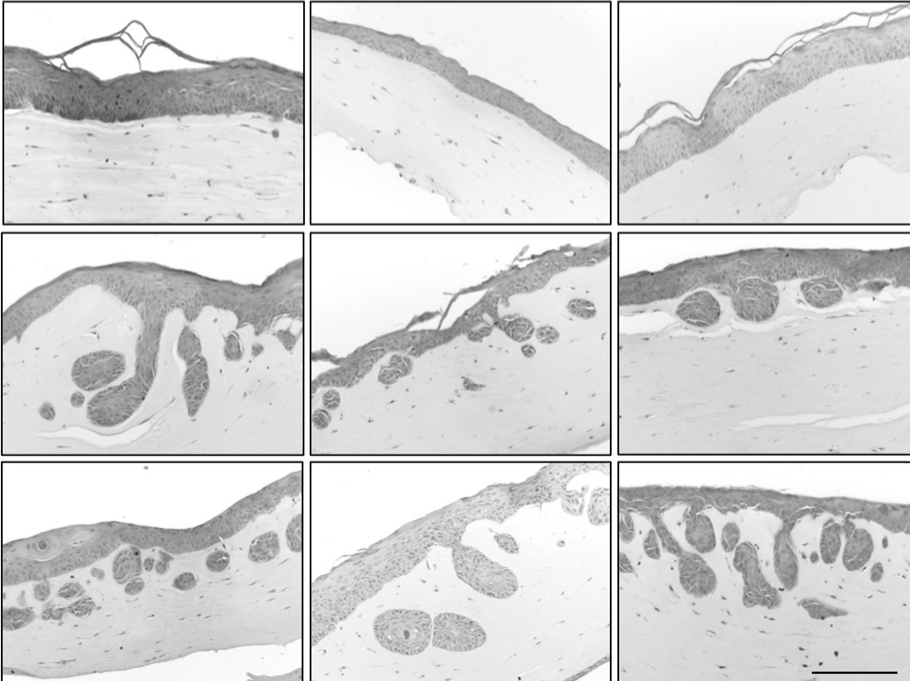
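These are sections of cultured skin: a layer of keratinocytes lies on top of a paler, loosely textured dermis equivalent in which scattered spindle-shaped fibroblast nuclei can be seen. The keratinocytes form a stratified, darker-staining epithelium several cells thick, and in some cultures thin, wavy flakes have lifted away from its upper surface. In the top row the epithelium stays as a flat sheet with a smooth lower border. In the lower rows rounded and elongated nests of tightly packed keratinocytes bud down from the epithelium or lie free within the dermis equivalent beneath it.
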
